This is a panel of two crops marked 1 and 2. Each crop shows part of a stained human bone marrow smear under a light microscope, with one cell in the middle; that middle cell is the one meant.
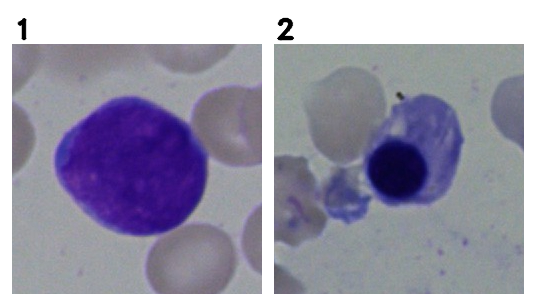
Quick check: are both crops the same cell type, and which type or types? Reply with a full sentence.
No, a blast is the subject of crop 1, and an erythroblast is the subject of crop 2.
